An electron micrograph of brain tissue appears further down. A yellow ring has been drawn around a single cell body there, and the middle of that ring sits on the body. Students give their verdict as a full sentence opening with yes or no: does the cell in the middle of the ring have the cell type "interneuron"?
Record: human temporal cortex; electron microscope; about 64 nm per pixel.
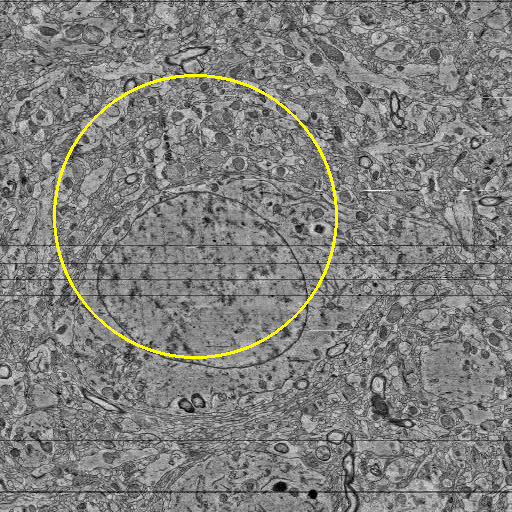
No, in this picture the cell sitting at the middle of the ring has a different cell type.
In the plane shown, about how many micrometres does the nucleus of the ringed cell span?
In this plane, approximately 14 by 11 micrometers.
